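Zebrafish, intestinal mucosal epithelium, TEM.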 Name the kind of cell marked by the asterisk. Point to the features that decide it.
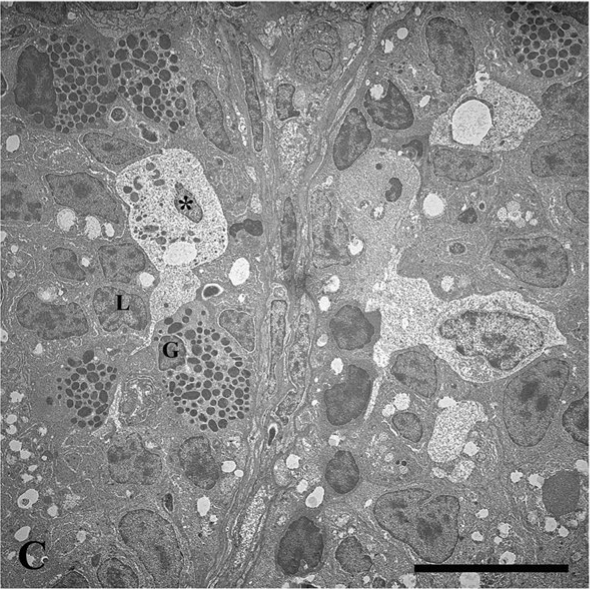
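A large cell with pale, electron-lucent cytoplasm lies among darker epithelial cells. Its cytoplasm holds vacuoles.
Conclusion: macrophage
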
